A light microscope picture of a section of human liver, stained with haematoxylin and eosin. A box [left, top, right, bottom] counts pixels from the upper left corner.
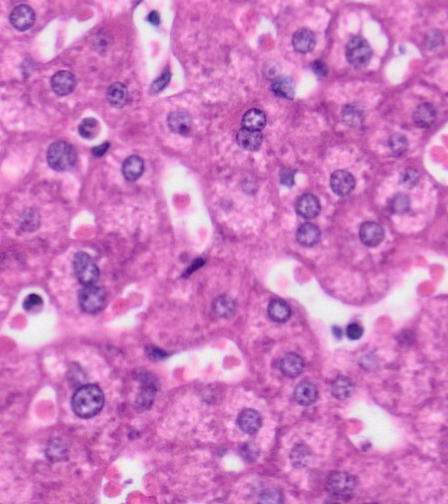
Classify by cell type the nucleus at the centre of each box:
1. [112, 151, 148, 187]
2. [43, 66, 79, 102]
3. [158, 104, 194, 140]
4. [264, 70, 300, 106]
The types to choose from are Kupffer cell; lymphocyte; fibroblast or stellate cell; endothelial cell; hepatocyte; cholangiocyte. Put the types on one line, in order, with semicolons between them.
hepatocyte; hepatocyte; hepatocyte; endothelial cell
